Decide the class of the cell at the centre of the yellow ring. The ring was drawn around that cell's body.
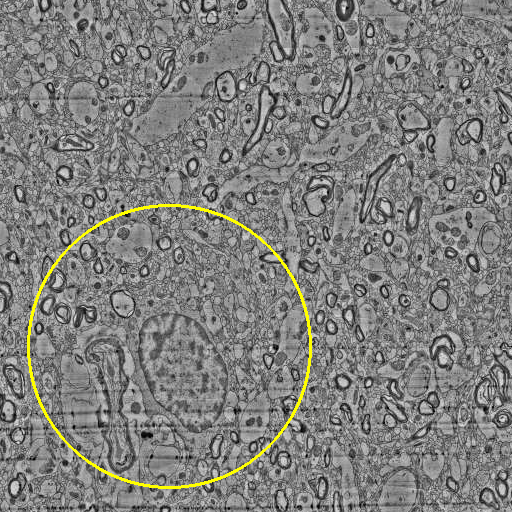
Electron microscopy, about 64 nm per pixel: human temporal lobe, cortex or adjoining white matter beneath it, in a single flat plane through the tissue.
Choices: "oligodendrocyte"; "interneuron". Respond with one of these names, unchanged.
oligodendrocyte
